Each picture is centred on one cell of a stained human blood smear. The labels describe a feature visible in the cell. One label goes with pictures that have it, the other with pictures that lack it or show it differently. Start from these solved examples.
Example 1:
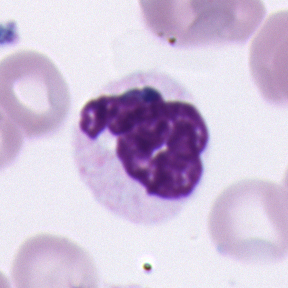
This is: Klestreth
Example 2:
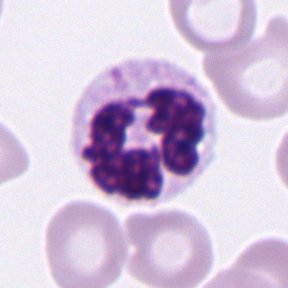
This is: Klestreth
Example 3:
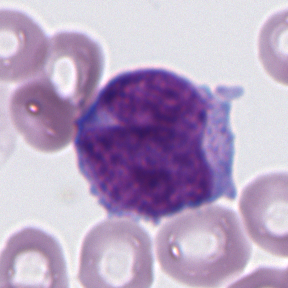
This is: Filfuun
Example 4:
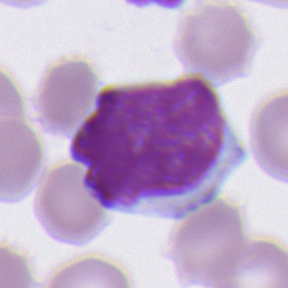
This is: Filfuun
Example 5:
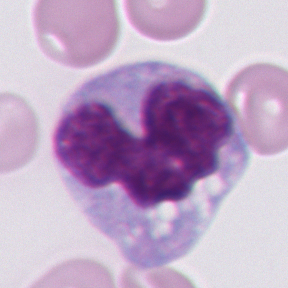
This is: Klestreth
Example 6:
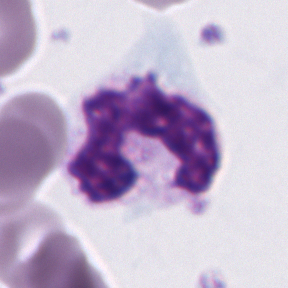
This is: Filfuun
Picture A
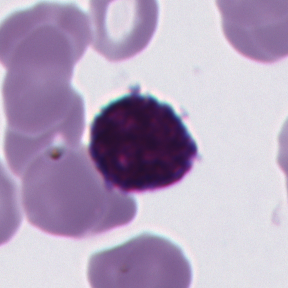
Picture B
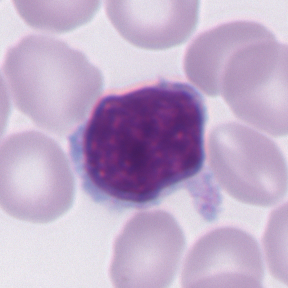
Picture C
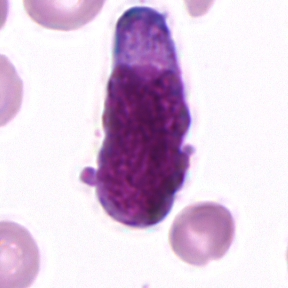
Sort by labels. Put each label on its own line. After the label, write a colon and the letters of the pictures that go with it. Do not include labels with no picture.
Filfuun: A, B, C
